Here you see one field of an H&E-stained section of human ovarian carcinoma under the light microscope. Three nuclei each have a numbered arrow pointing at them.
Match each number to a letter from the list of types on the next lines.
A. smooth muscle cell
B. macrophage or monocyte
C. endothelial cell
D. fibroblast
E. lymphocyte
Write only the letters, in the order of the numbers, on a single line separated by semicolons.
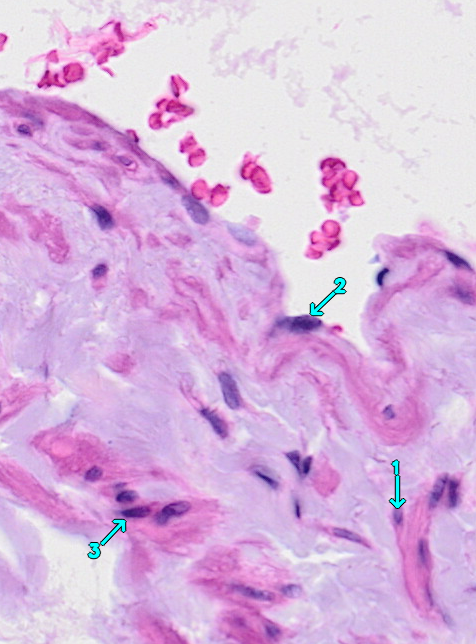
A; C; A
